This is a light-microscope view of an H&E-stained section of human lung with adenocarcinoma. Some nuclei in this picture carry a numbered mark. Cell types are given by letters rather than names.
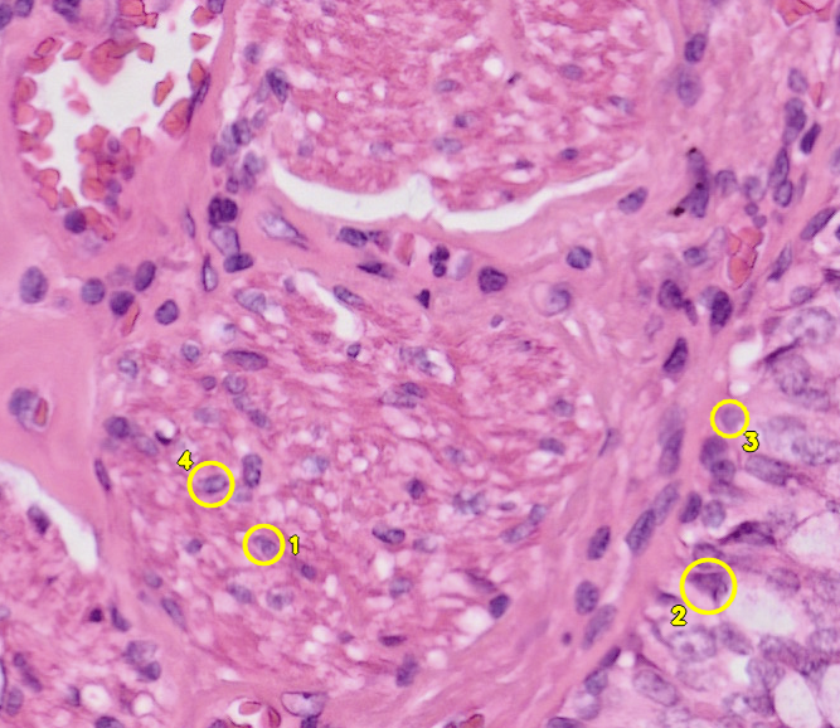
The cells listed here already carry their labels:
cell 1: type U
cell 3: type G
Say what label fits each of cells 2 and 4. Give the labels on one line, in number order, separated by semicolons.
type G; type U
